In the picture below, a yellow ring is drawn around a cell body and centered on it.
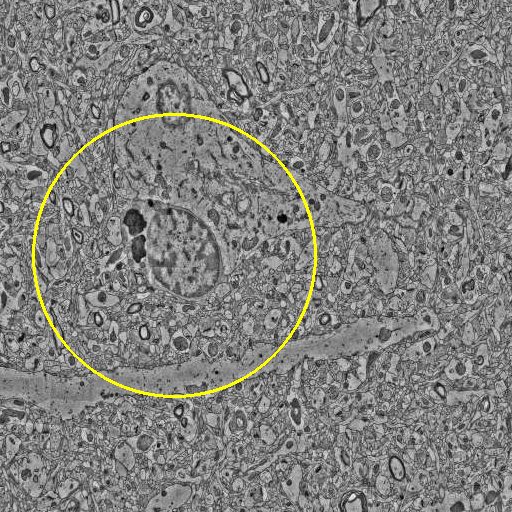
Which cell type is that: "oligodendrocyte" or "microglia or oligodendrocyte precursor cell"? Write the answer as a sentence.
The cell centered in the ring is an oligodendrocyte.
